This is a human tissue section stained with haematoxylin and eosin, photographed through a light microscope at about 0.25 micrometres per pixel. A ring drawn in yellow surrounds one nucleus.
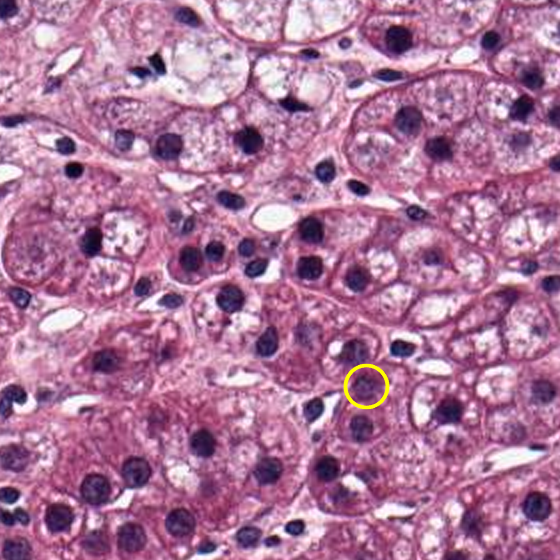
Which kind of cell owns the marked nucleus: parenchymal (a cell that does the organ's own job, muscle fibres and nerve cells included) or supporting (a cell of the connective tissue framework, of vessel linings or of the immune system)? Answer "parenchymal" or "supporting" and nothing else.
parenchymal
